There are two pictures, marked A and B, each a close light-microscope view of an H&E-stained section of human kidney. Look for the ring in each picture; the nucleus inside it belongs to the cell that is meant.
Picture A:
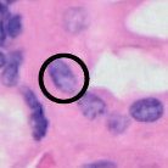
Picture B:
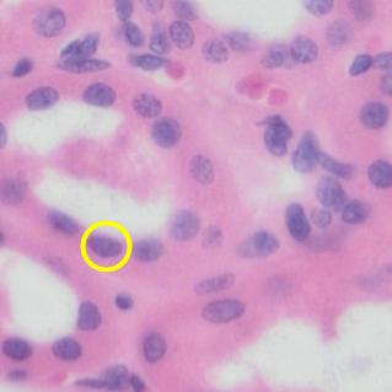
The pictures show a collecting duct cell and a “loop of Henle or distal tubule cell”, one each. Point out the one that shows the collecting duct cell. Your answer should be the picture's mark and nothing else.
A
